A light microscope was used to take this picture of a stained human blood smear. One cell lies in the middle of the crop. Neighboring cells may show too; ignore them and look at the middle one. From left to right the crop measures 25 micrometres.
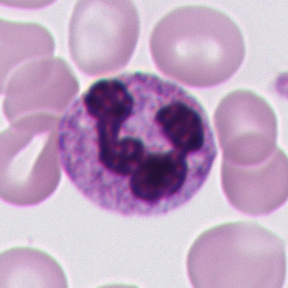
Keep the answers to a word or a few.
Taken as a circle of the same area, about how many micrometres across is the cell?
13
